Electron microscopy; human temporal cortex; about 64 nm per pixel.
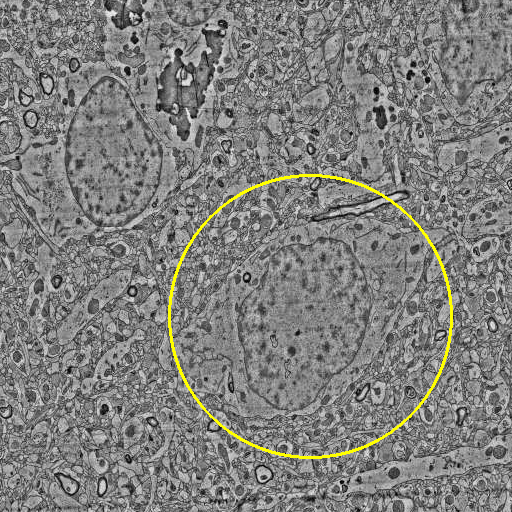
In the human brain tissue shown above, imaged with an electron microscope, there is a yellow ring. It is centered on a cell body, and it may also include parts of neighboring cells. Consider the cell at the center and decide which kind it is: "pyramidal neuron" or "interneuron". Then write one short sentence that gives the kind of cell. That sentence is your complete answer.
This centered cell body is that of an interneuron.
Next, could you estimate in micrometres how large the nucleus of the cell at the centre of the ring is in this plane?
Approximately 11 x 8 micrometres in this plane.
